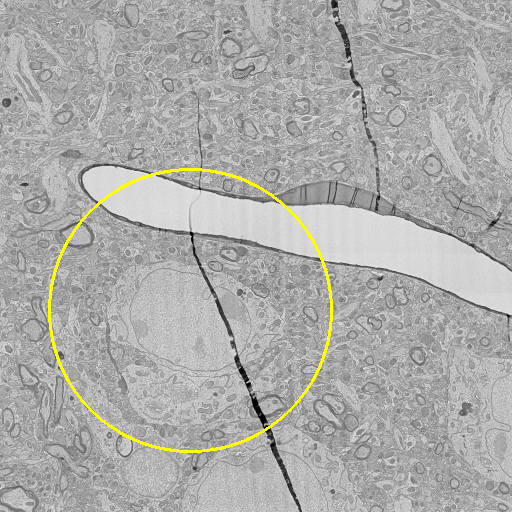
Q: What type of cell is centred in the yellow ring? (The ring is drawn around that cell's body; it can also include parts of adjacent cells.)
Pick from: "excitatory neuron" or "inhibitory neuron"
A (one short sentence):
The yellow ring is centred on an excitatory neuron.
